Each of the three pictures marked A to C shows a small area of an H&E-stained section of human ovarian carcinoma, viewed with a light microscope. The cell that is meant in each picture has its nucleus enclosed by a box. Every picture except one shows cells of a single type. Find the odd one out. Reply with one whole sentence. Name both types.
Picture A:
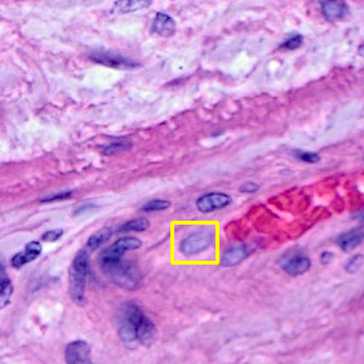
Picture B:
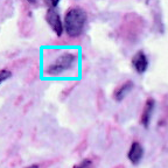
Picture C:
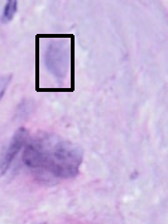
Picture A is the odd one out: it shows an endothelial cell, while the others show fibroblasts.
